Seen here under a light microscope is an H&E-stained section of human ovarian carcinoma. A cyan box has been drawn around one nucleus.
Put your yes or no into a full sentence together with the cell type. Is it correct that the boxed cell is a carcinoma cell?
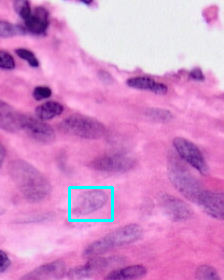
No, the boxed cell is a fibroblast rather than a carcinoma cell.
